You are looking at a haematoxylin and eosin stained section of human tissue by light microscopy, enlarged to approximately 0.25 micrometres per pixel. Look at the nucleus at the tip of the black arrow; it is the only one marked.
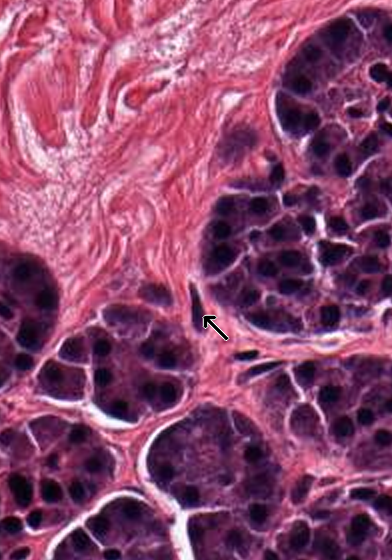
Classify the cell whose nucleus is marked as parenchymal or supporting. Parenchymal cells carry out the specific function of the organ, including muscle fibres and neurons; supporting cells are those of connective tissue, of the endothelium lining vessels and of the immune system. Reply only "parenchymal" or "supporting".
supporting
